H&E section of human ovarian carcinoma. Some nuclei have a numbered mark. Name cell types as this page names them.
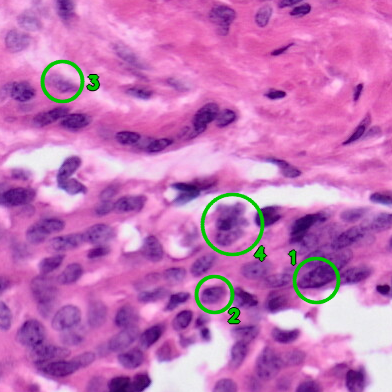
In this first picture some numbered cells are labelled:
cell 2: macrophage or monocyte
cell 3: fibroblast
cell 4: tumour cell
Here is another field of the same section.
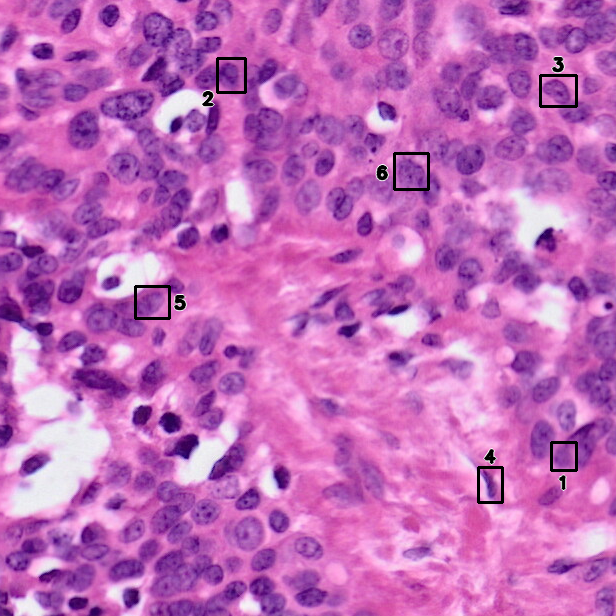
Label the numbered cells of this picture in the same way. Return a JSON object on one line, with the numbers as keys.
{"1": "tumour cell", "2": "tumour cell", "3": "macrophage or monocyte", "4": "fibroblast", "5": "tumour cell", "6": "tumour cell"}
